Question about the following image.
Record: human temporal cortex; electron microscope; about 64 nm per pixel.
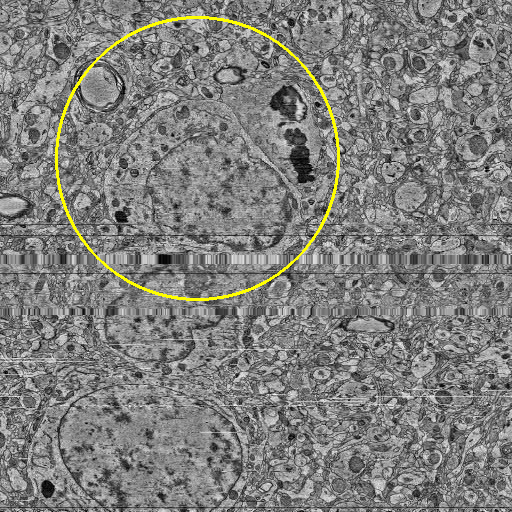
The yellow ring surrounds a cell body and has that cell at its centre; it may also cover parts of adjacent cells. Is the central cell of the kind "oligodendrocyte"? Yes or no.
No, it is of another kind.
